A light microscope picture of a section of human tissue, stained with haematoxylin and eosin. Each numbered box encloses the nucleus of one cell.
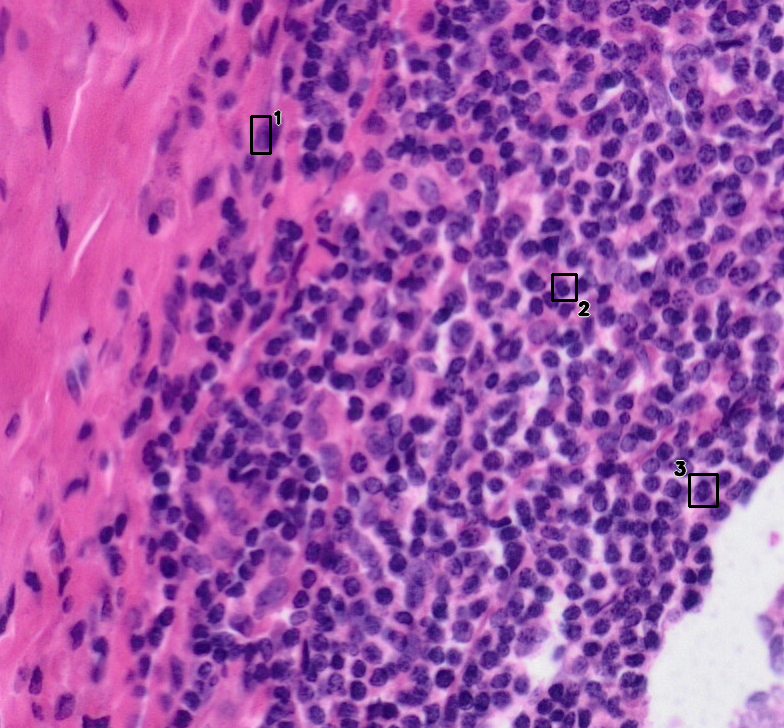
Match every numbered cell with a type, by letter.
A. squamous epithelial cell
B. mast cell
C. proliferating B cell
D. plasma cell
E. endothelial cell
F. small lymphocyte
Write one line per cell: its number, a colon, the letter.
1: E
2: F
3: F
